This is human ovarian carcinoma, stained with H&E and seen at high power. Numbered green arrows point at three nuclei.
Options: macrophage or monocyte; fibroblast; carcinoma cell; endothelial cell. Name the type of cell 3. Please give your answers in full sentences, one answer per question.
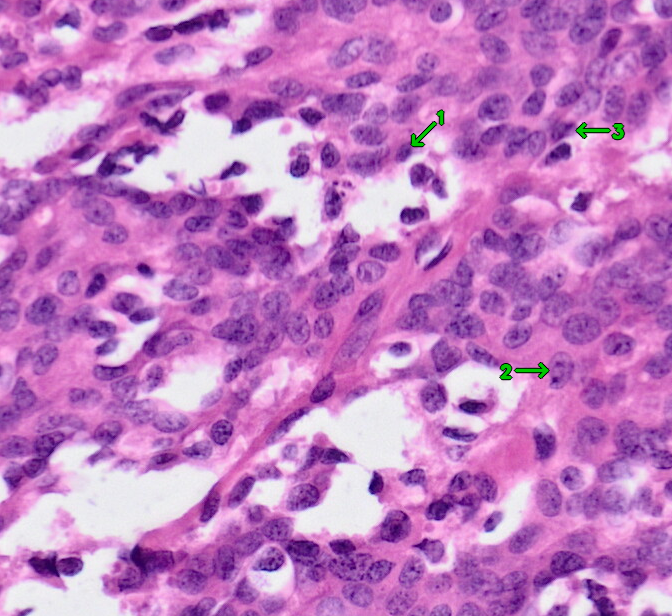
The cell marked with the number 3 is a carcinoma cell.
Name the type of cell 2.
To a macrophage or monocyte belongs the nucleus marked 2.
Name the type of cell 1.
Corresponding to a carcinoma cell is the cell labelled 1.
